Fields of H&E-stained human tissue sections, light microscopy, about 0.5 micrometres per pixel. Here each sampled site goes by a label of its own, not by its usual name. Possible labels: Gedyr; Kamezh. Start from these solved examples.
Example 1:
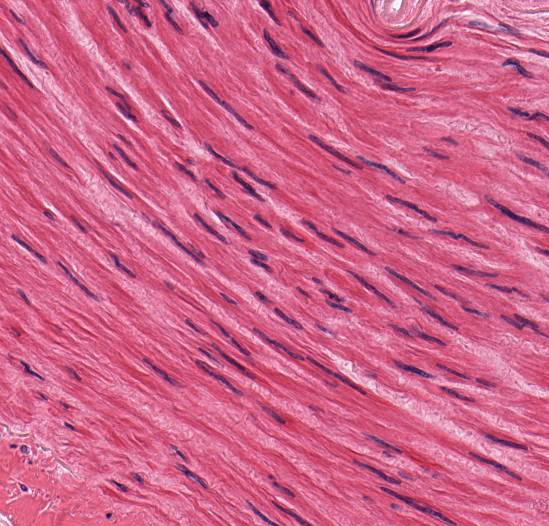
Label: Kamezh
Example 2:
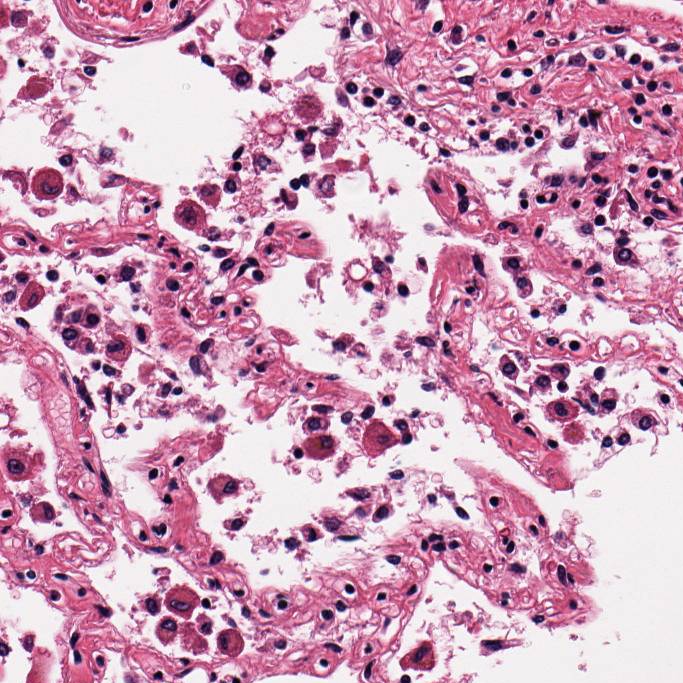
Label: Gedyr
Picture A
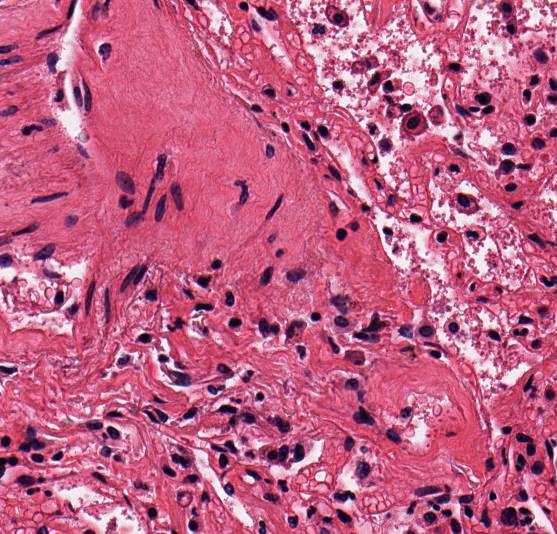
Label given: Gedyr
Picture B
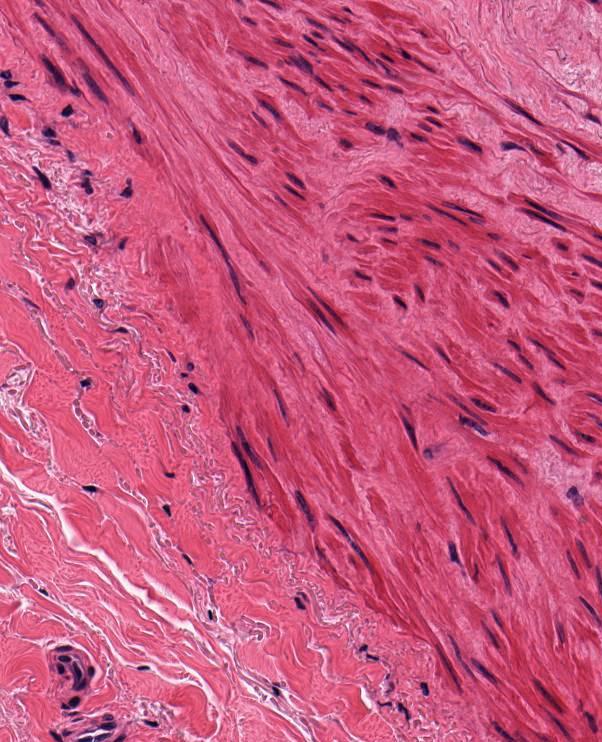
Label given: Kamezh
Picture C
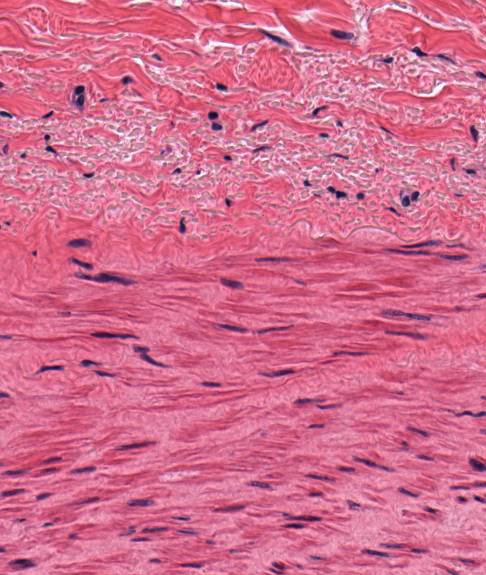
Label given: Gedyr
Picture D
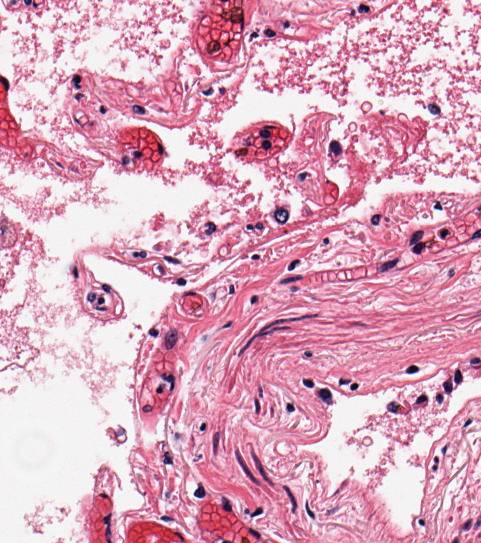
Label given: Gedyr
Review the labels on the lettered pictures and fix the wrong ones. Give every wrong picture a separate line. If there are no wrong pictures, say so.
C should be Kamezh, not Gedyr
